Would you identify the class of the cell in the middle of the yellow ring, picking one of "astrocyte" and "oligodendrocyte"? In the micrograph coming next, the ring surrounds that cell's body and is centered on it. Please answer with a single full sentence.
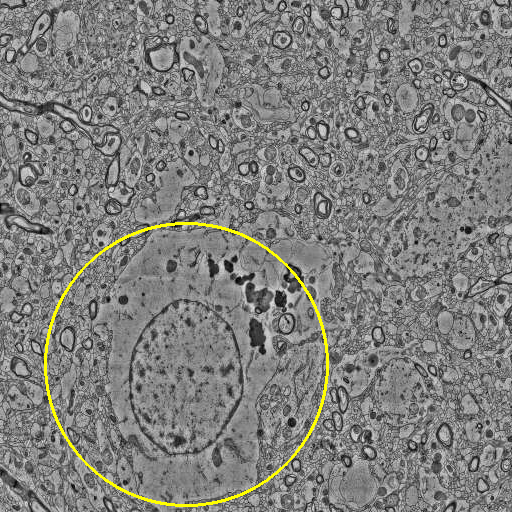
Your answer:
In the micrograph, it is an astrocyte whose body lies at the ring's center.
